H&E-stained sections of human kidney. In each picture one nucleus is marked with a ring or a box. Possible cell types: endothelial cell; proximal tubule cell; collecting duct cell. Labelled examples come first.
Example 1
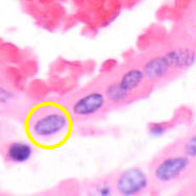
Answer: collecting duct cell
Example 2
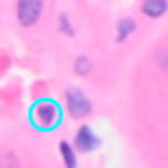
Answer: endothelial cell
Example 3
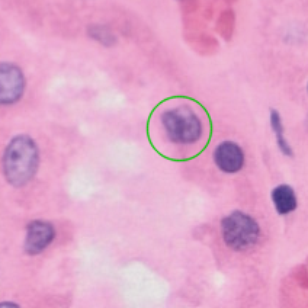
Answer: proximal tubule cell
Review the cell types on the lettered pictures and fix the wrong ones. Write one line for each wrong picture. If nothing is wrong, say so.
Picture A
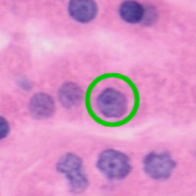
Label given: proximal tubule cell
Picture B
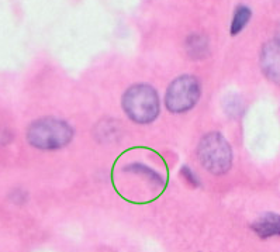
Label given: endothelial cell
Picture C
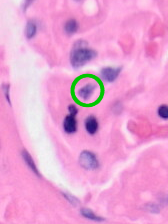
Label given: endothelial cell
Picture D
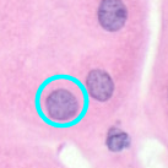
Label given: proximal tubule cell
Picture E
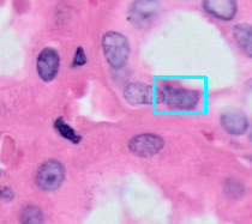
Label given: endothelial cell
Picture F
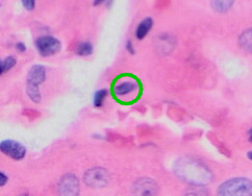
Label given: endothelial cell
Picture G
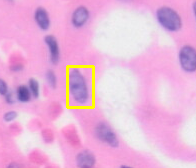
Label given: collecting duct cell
Wrong: E (endothelial cell); correct: collecting duct cell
